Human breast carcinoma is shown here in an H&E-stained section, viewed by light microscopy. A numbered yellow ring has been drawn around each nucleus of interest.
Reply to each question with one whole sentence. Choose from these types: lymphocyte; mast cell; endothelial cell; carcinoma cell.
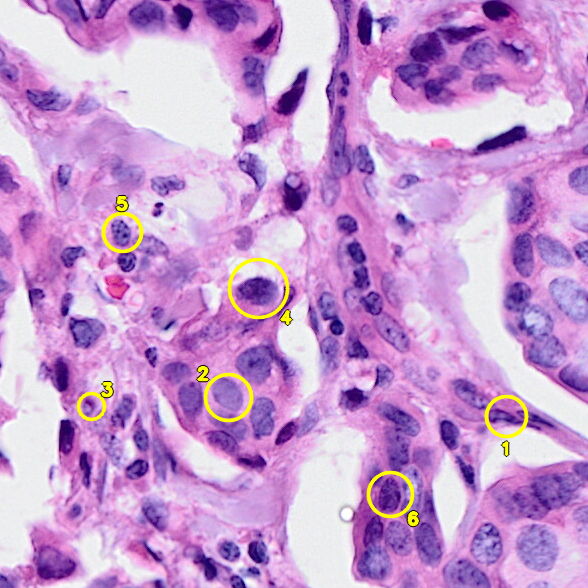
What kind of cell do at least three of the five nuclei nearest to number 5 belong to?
Of the five nuclei nearest to number 5, most belong to lymphocytes.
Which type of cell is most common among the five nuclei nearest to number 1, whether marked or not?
Around number 1, most of the five nearest nuclei are those of endothelial cells.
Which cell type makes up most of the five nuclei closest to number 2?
Of the five nuclei nearest to number 2, most belong to carcinoma cells.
